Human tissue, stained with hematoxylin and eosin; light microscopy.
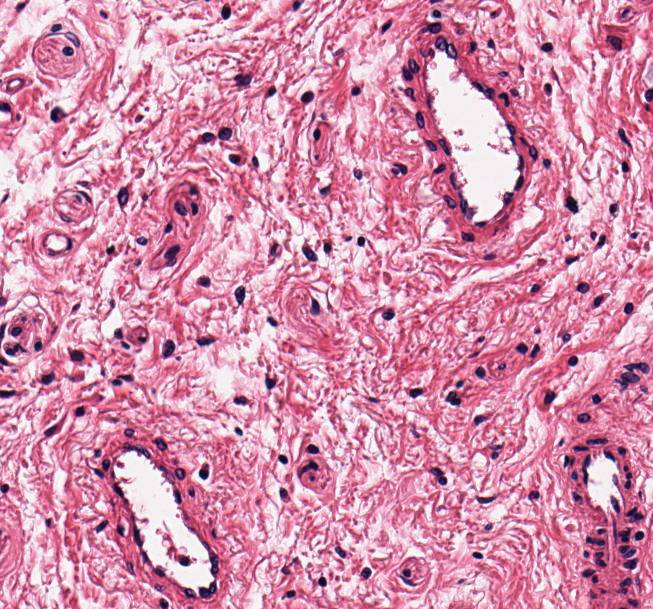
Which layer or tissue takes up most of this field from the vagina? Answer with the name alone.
loose connective tissue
